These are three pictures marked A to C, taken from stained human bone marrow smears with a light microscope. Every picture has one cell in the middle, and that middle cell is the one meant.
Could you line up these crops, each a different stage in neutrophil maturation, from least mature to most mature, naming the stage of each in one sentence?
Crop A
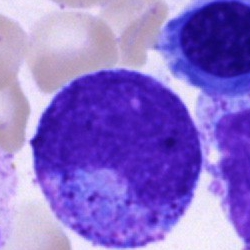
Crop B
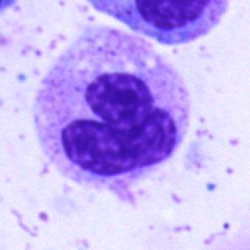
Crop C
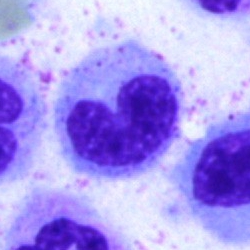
From least mature to most mature, the crops fall in the order crop A (a promyelocyte), crop C (a band neutrophil) and crop B (a segmented neutrophil).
